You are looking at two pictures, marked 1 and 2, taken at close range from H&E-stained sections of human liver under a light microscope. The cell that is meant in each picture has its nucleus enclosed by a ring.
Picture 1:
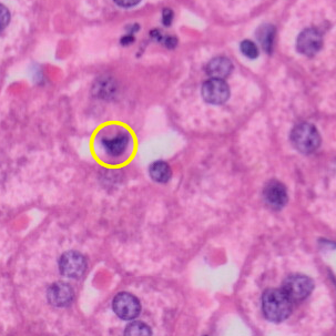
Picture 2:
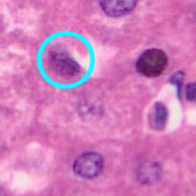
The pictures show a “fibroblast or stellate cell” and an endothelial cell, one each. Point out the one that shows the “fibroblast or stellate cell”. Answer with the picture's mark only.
1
